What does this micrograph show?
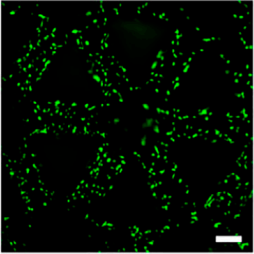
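The cells are small and mostly elongated. They line up in bands along the scaffold struts, and these bands cross at angles to outline triangular openings. The openings themselves are dark and hold few or no cells.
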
